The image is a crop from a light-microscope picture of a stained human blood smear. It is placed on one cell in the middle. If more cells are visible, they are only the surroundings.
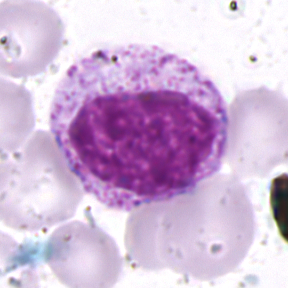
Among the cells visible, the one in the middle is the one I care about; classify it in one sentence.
By type, the central cell of the crop is a myelocyte.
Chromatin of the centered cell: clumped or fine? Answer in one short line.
The chromatin is delicate and fine, lacking coarse clumping entirely.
